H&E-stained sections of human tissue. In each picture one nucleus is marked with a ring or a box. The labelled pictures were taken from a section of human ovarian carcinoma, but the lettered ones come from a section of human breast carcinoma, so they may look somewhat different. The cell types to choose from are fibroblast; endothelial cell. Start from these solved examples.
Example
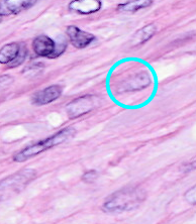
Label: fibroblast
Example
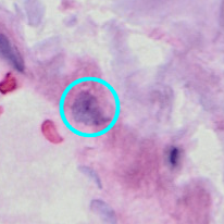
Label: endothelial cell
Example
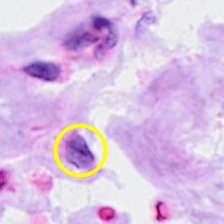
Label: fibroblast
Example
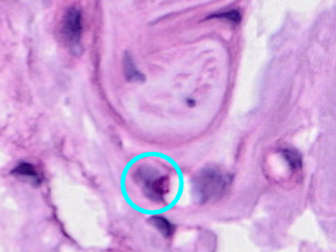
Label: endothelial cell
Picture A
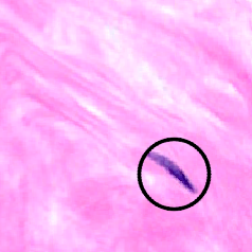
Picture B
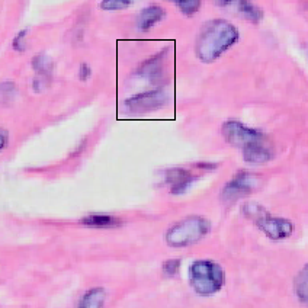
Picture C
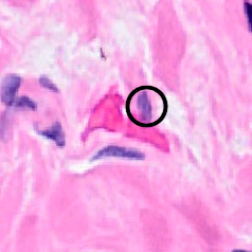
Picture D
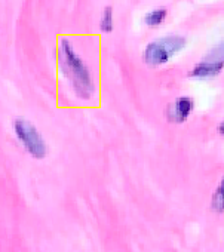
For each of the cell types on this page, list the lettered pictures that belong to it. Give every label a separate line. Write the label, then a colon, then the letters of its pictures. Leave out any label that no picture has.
fibroblast: A, D
endothelial cell: B, C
